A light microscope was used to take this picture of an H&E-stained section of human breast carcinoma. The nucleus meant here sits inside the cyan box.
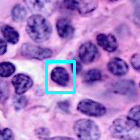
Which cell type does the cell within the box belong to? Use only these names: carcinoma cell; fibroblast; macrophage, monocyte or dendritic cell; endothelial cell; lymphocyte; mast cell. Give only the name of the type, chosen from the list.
lymphocyte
